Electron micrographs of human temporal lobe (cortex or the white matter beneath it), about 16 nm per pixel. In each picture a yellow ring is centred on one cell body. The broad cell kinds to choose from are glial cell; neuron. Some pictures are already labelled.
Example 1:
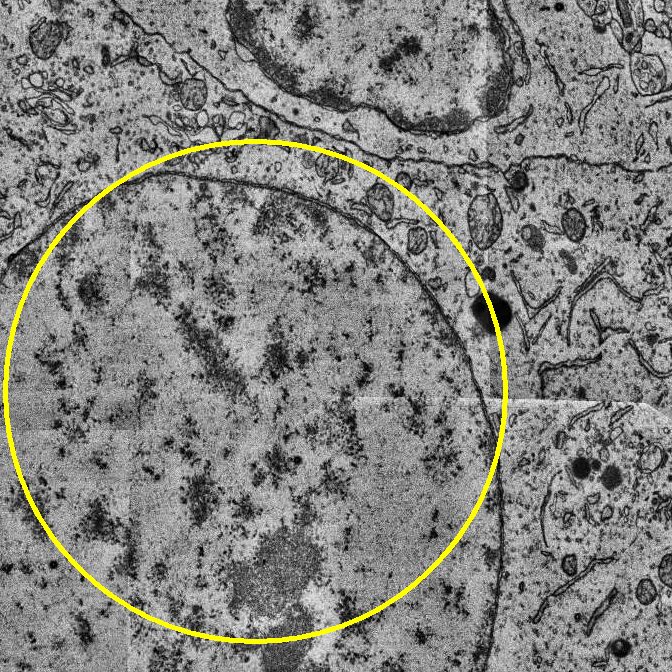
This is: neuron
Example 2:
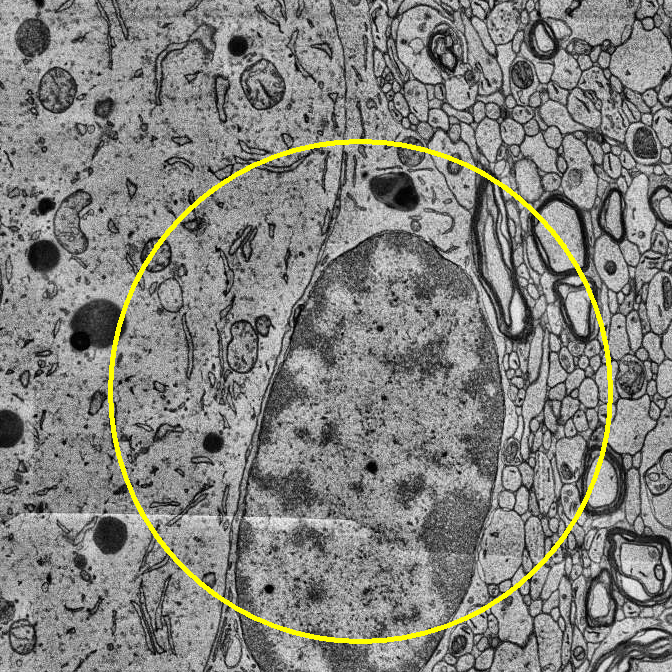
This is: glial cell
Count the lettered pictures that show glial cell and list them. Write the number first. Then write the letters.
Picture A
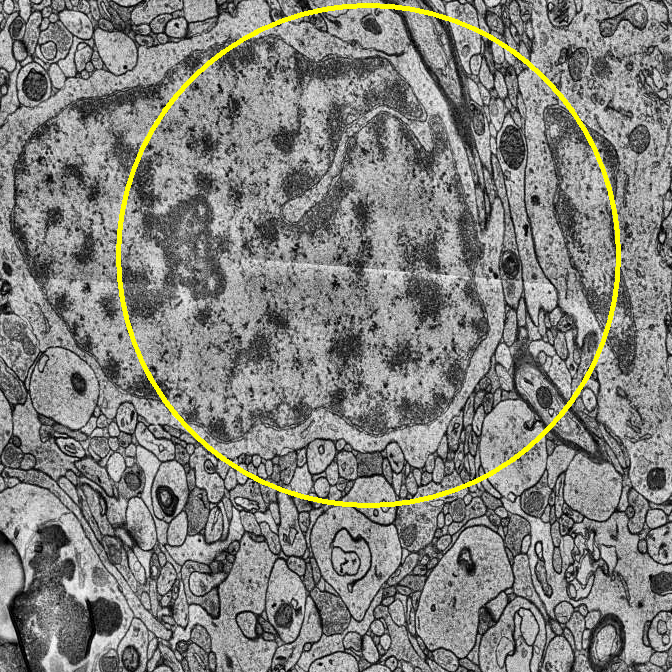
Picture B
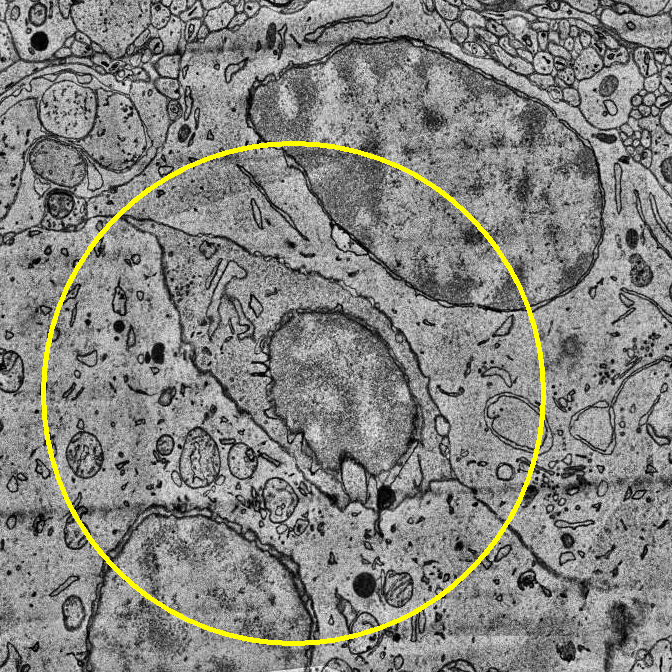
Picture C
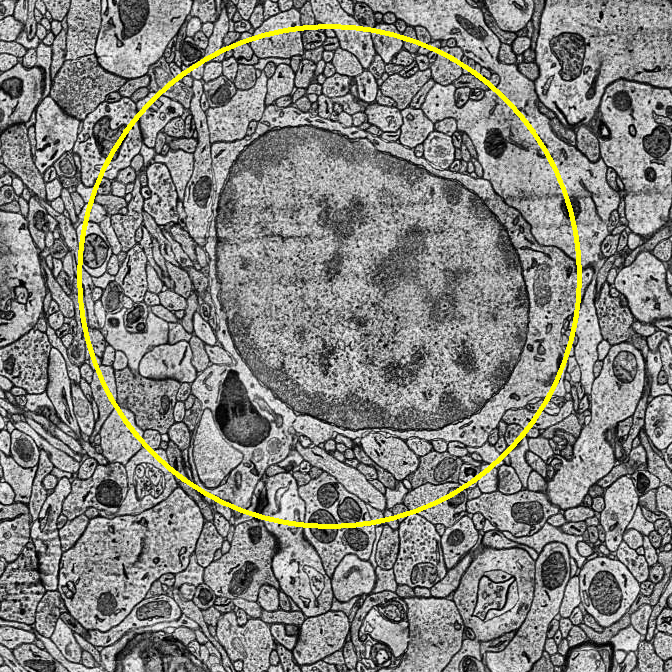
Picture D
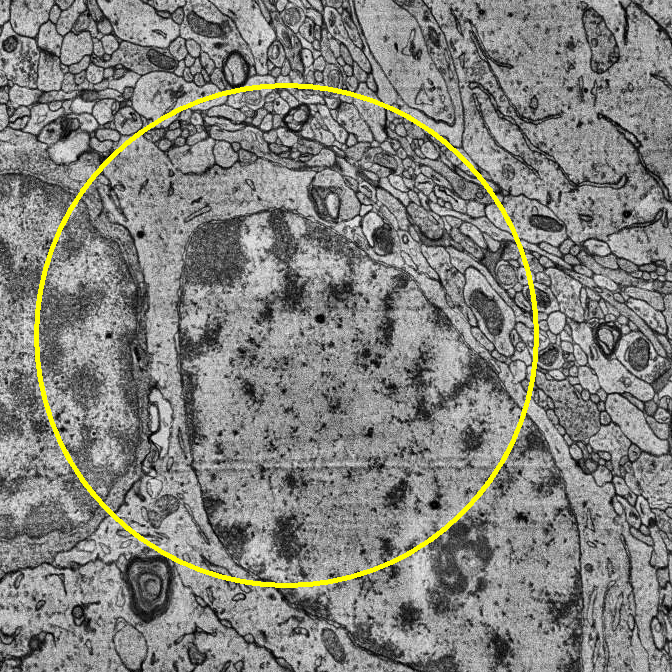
Count: 4 (A, B, C, D)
